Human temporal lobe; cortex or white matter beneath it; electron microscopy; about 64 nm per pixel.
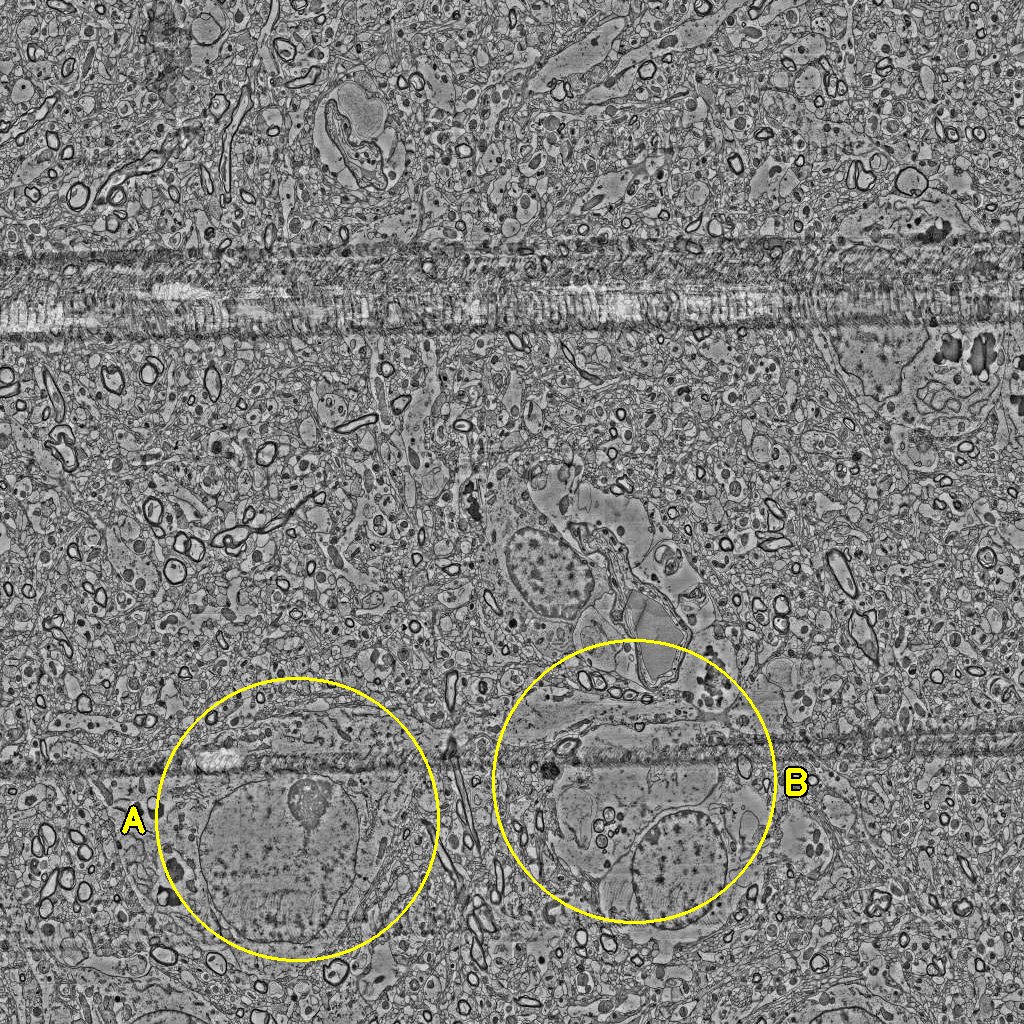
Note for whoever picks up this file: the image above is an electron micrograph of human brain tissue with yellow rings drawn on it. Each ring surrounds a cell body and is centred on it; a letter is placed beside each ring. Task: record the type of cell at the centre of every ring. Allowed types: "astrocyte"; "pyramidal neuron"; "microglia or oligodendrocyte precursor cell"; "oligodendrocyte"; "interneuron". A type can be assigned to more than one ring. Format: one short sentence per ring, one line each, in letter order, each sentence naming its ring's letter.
The ring marked A is centred on a pyramidal neuron.
The ring marked B is centred on an astrocyte.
